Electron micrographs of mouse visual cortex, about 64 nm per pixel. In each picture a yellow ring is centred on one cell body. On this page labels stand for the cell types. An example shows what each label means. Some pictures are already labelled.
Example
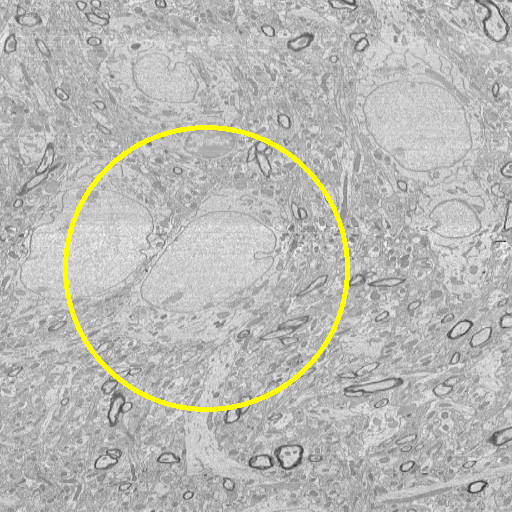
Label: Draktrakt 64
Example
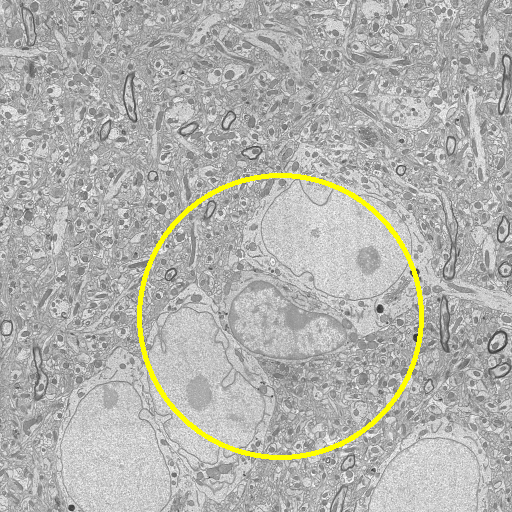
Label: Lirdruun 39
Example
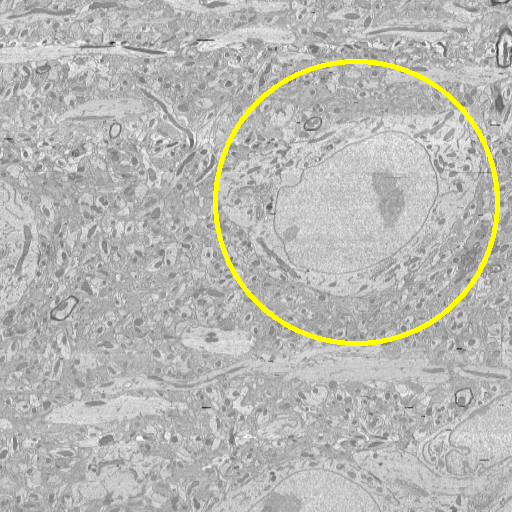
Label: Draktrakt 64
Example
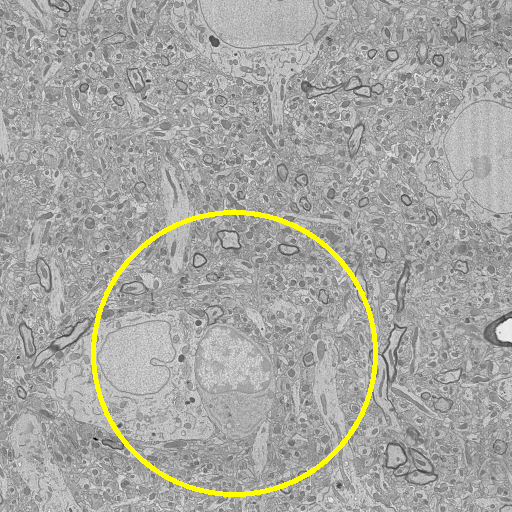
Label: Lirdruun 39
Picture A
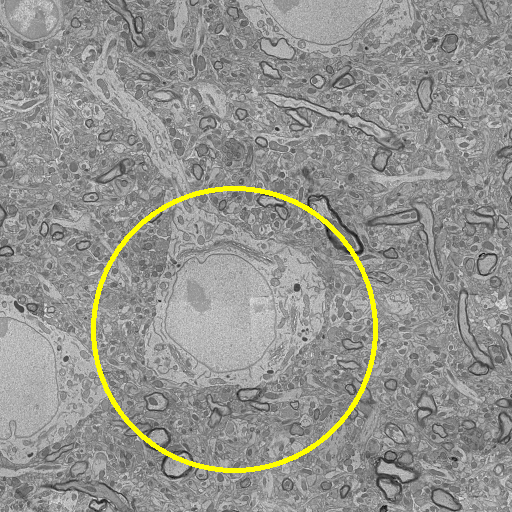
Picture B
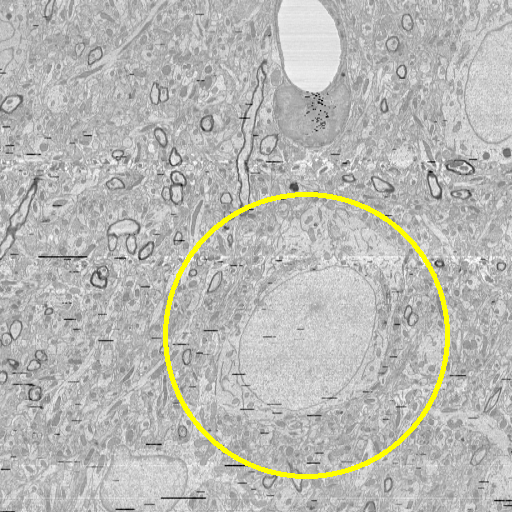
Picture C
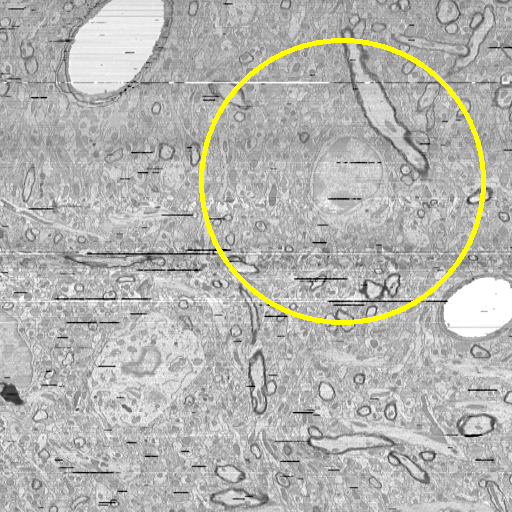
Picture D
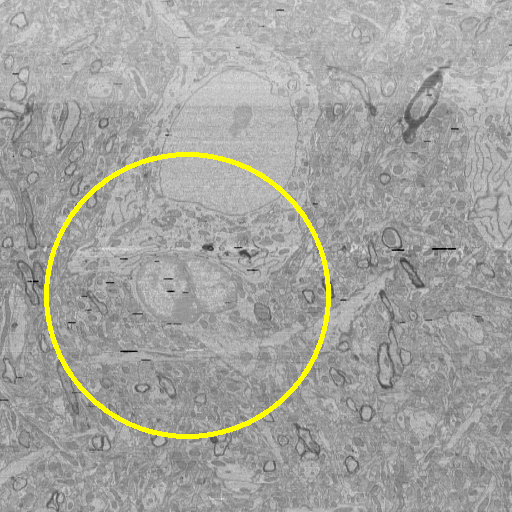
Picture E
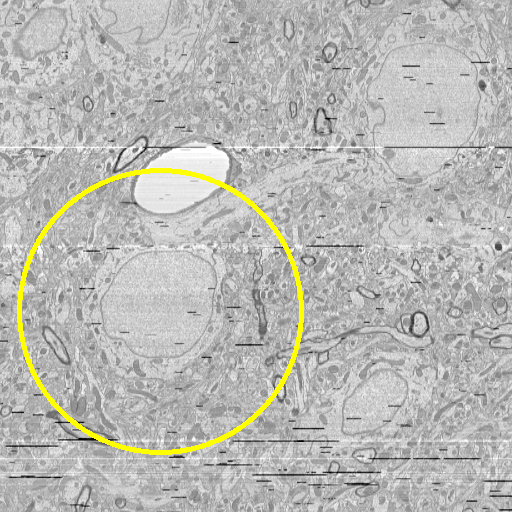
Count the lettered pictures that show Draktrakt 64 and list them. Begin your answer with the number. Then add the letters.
Count: 3 (A, B, E)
